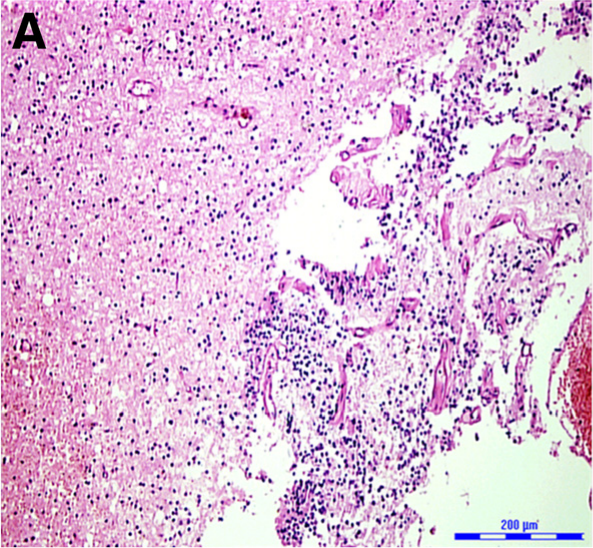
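A pale pink, finely fibrillary brain tissue is crowded with many small, round, dark purple nuclei, more numerous than in normal brain. Small vessels and clear vacuoles are scattered through it. Toward the right, the tissue becomes loose and torn into strands and fragments, with clusters of dark nuclei between pink wavy bands.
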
